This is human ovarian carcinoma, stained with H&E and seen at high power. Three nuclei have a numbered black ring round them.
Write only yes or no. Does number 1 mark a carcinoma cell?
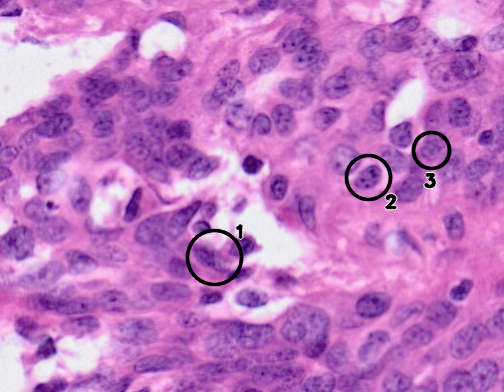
yes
